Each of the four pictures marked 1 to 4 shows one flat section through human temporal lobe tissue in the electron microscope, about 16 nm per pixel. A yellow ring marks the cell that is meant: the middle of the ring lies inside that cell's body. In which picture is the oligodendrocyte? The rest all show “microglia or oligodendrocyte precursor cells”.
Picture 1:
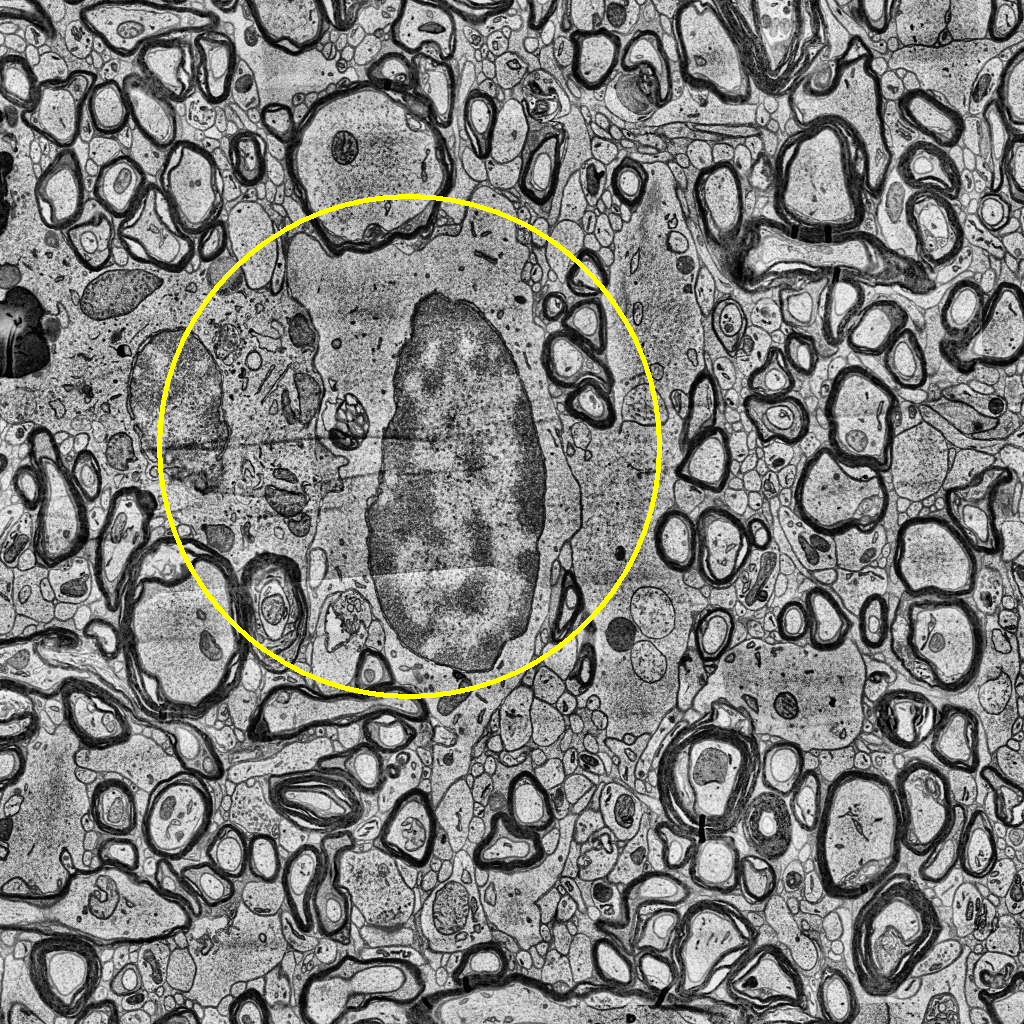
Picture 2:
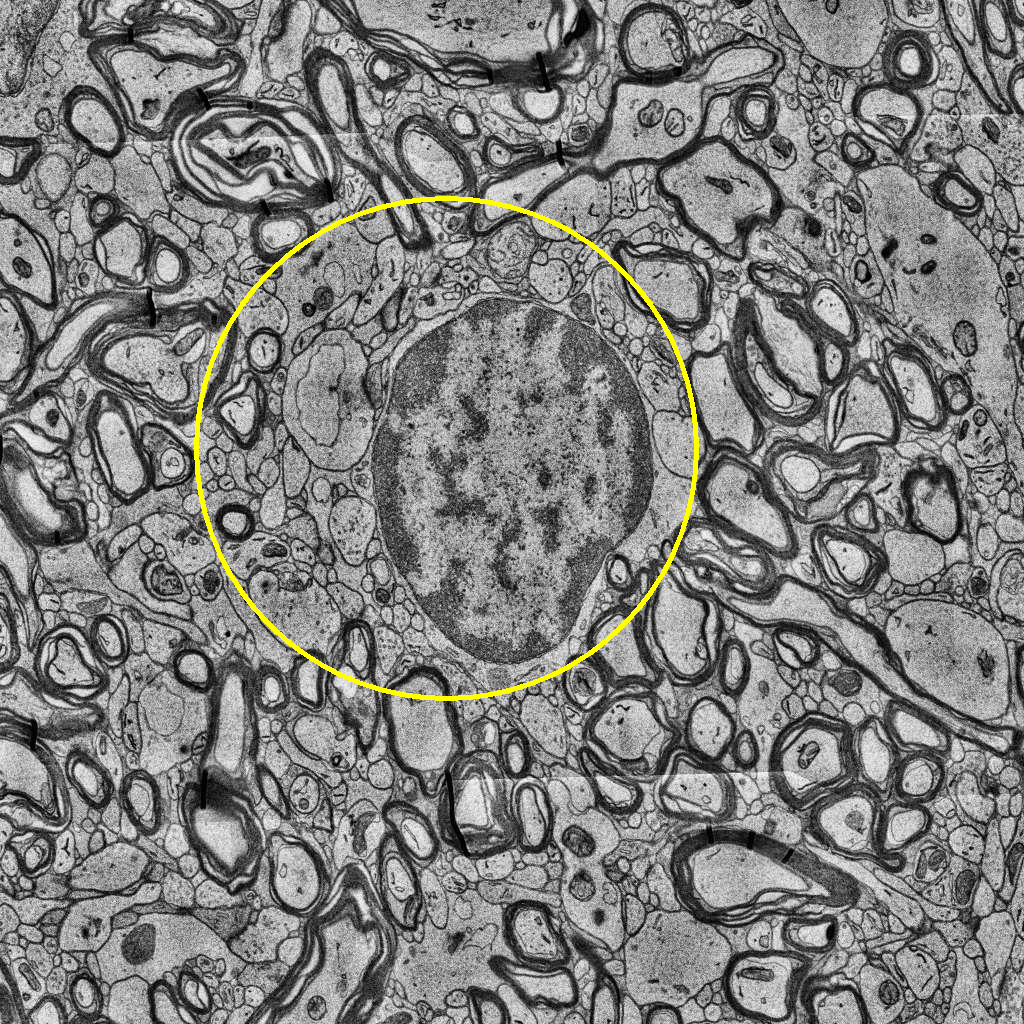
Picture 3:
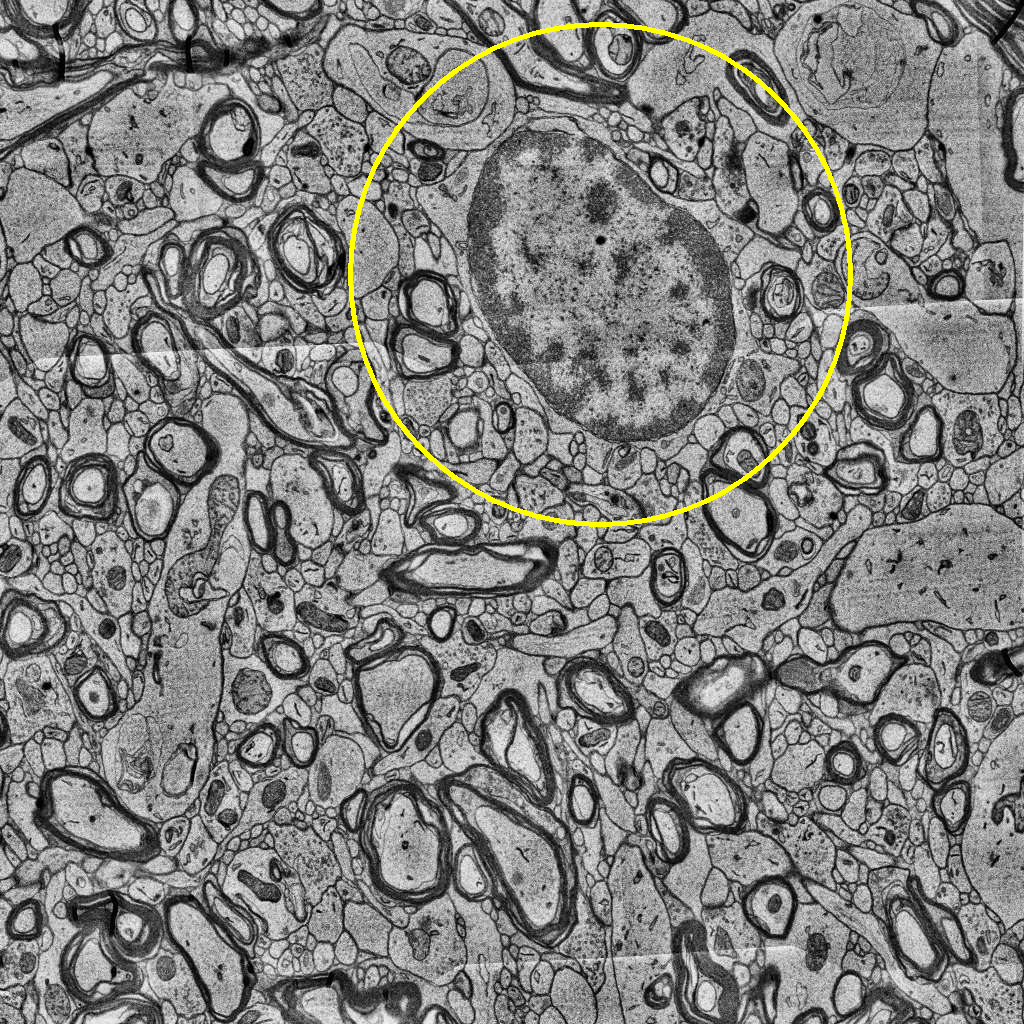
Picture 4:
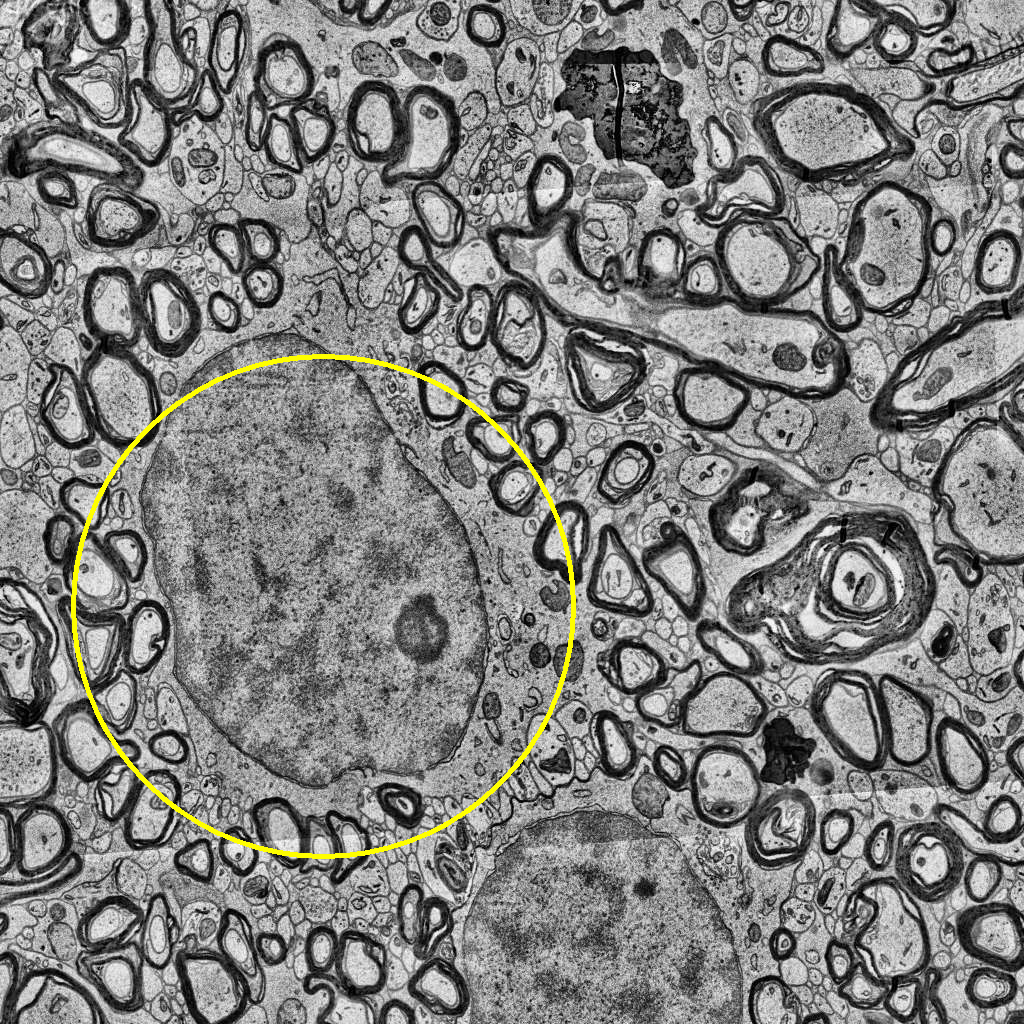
The picture with the oligodendrocyte is 4.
